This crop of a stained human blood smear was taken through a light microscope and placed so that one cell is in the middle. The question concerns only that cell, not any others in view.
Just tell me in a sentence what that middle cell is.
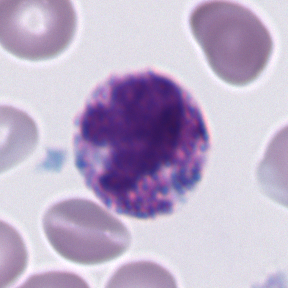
The cell found in the middle of this crop is a basophil.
